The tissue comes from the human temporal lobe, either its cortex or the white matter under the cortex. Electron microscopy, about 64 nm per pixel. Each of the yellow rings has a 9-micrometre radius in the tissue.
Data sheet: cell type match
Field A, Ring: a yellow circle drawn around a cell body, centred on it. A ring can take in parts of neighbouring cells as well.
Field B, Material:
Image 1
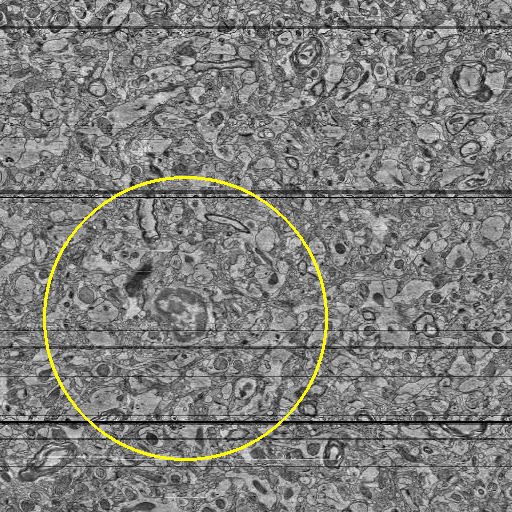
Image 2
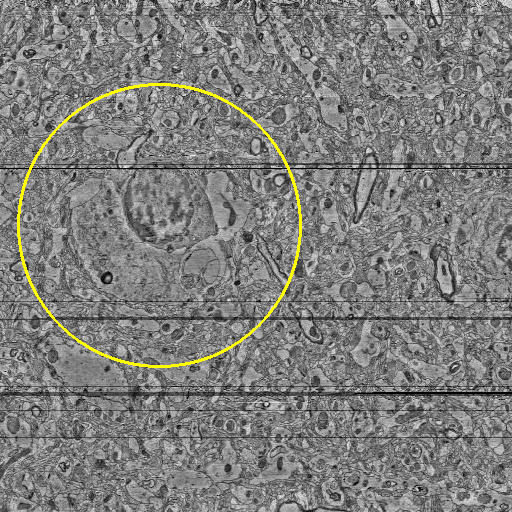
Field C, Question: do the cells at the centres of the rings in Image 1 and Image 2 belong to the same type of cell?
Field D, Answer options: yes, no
yes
